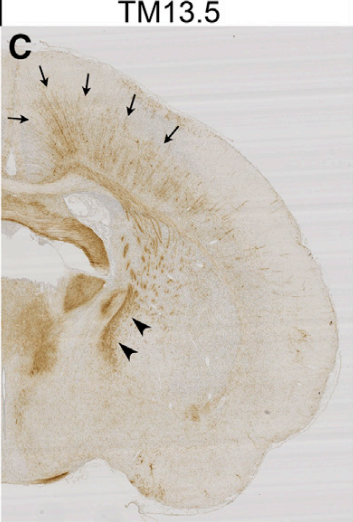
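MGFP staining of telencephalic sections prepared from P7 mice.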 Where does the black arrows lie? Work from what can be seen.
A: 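Medial cortical areas. Lateral cortex is only faintly stained.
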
